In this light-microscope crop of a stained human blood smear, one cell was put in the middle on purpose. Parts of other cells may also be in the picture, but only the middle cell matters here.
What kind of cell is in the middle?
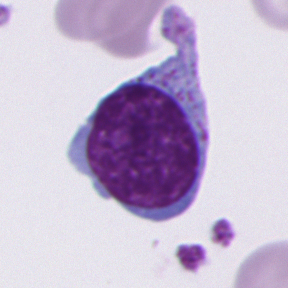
typical lymphocyte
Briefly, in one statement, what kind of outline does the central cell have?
Along its border, the cell is uneven, whether by ragged stretches or by projections.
